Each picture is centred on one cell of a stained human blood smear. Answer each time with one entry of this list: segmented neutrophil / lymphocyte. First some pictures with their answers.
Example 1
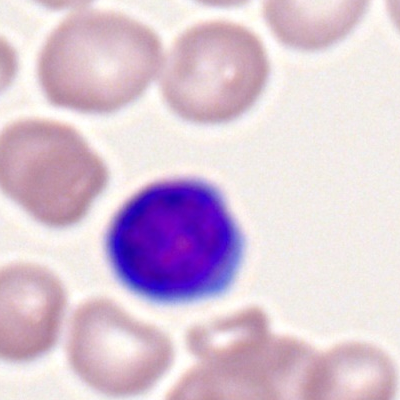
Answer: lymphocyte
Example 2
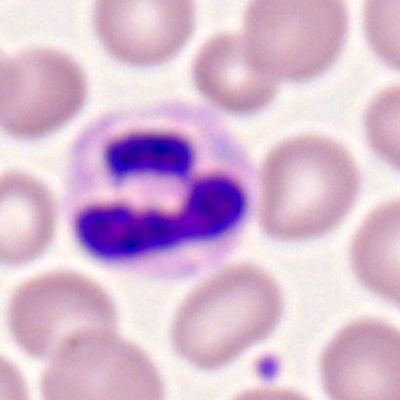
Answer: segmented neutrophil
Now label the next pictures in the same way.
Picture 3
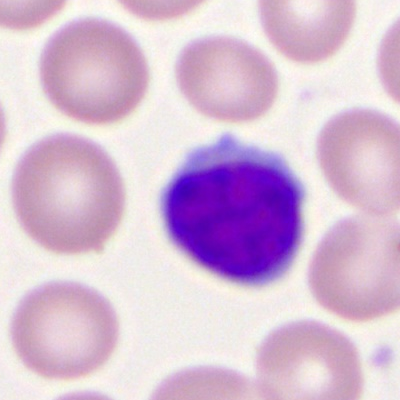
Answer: lymphocyte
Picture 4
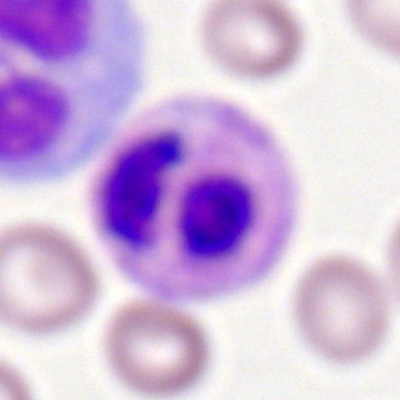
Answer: segmented neutrophil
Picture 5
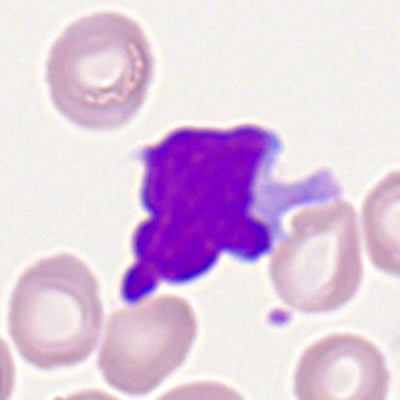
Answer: lymphocyte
